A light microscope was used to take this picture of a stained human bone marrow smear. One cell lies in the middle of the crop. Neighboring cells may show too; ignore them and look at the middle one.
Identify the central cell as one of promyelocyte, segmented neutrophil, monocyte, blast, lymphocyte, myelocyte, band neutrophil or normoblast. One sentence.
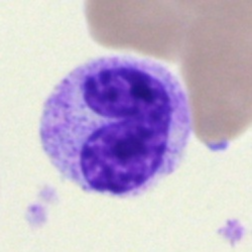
The centrally positioned cell in the crop represents a band neutrophil.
